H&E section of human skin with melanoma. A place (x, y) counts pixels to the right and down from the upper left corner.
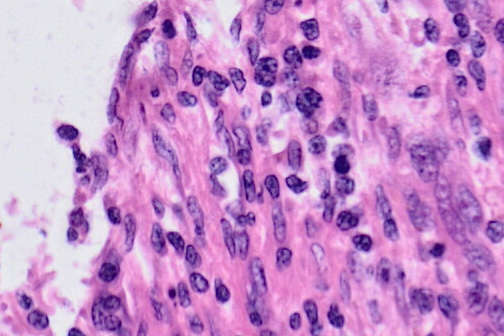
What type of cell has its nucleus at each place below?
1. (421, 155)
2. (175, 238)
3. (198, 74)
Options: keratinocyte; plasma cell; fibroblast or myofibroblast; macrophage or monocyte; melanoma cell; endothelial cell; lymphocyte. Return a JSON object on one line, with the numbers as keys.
{"1": "melanoma cell", "2": "lymphocyte", "3": "lymphocyte"}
